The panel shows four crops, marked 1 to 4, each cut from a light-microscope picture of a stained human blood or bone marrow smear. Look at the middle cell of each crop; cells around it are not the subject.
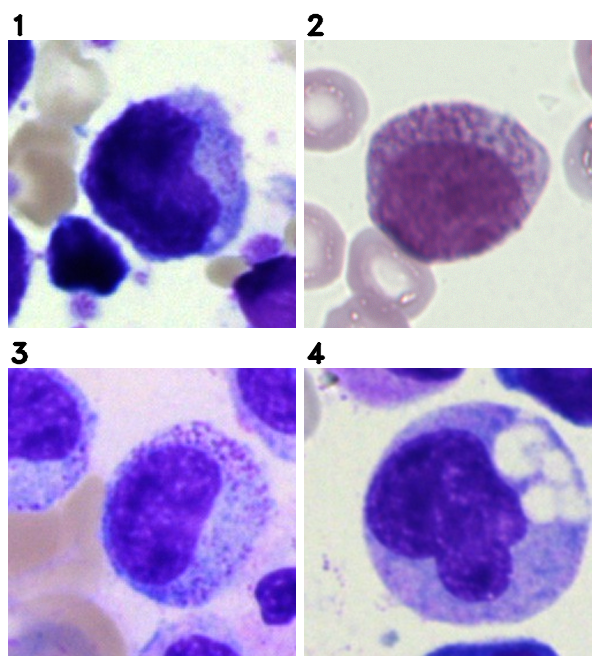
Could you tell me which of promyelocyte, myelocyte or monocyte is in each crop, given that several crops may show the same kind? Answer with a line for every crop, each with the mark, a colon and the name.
1: myelocyte
2: promyelocyte
3: myelocyte
4: monocyte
